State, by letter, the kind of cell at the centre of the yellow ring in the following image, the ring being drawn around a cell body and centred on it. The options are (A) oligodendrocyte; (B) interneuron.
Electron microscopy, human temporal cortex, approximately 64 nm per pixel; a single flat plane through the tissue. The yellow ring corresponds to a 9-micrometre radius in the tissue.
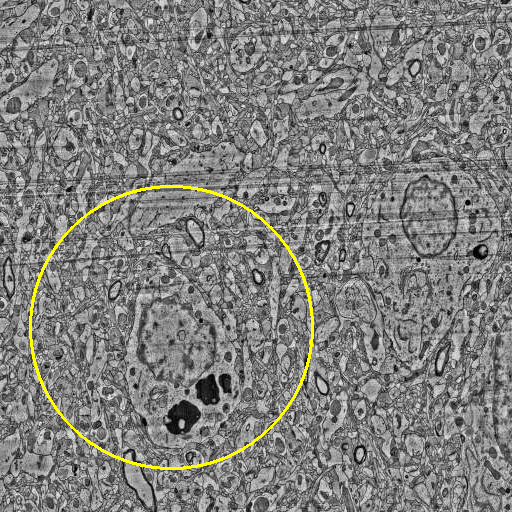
B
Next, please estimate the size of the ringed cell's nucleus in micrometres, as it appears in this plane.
In this plane, about 6 micrometres in length and 5 in width.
